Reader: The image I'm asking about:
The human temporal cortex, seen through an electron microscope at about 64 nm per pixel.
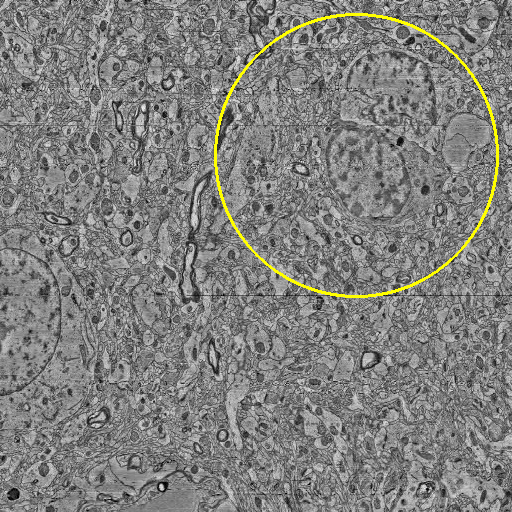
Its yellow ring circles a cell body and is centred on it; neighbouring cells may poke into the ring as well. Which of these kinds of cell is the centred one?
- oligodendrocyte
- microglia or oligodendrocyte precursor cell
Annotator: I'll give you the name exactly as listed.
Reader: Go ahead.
oligodendrocyte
